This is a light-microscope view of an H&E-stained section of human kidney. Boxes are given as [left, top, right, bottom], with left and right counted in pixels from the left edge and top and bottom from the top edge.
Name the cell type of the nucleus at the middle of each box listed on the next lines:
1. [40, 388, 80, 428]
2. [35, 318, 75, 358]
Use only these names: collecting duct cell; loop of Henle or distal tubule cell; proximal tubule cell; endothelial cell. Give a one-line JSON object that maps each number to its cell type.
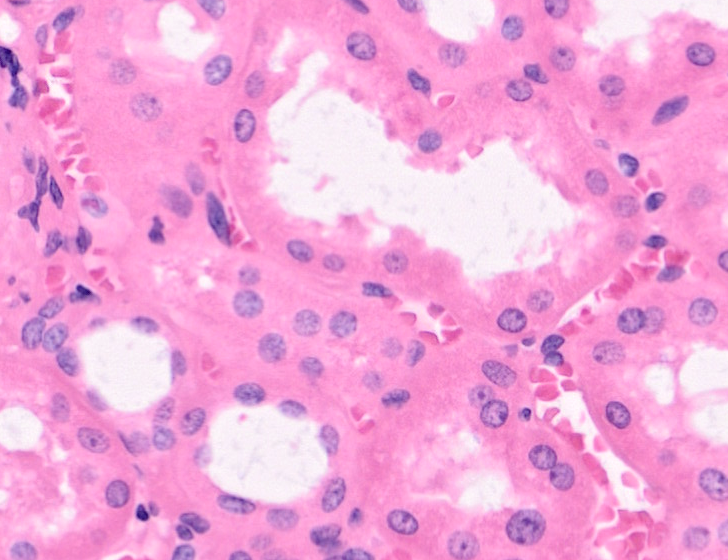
{"1": "proximal tubule cell", "2": "collecting duct cell"}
